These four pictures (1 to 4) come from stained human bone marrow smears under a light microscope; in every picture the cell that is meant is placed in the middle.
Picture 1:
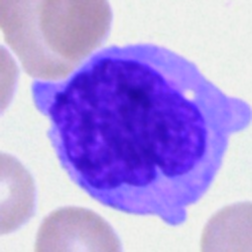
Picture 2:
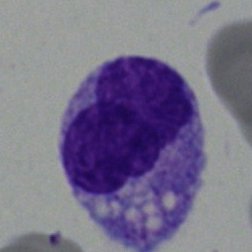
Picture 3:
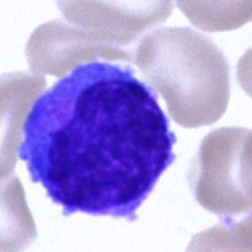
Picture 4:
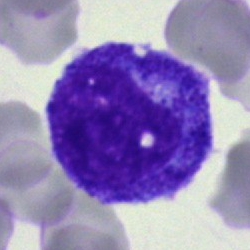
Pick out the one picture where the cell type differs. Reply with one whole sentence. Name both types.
The others show monocytes, but picture 4 shows a promyelocyte.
